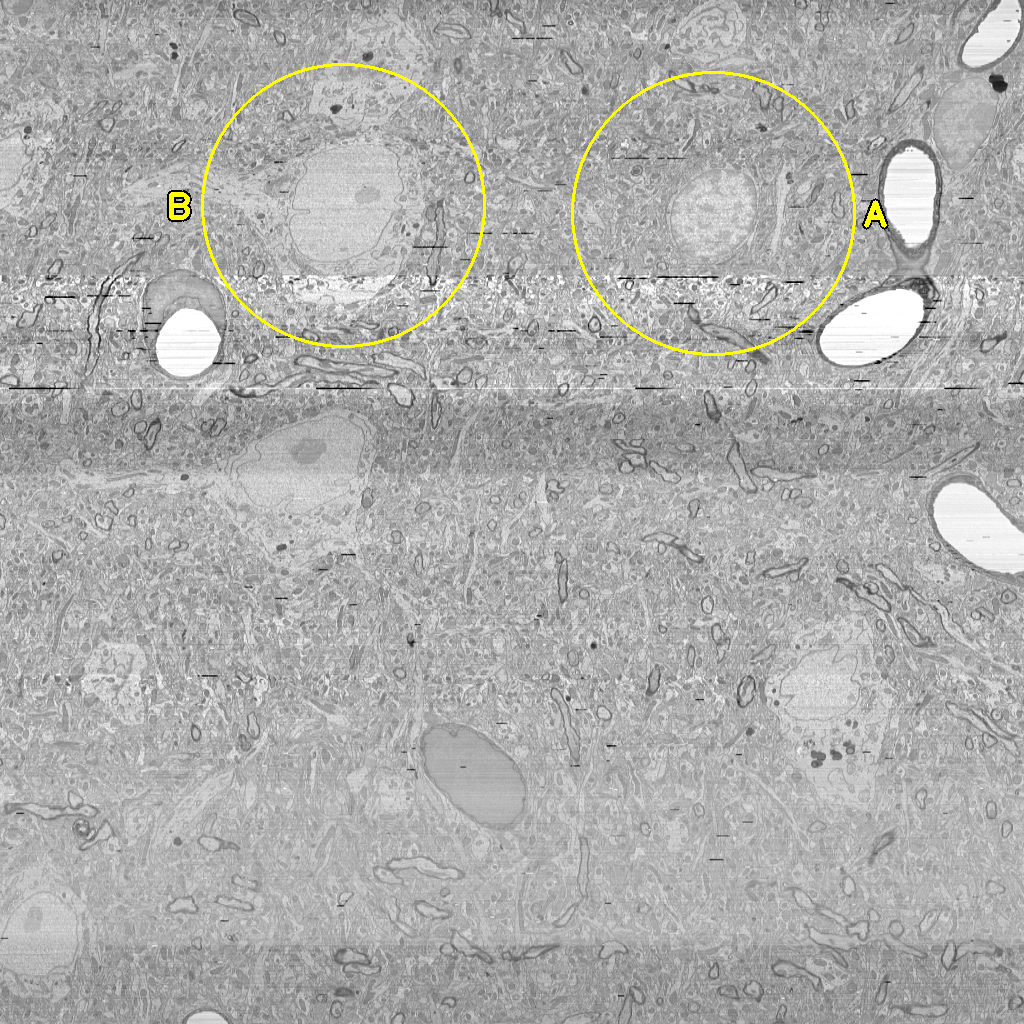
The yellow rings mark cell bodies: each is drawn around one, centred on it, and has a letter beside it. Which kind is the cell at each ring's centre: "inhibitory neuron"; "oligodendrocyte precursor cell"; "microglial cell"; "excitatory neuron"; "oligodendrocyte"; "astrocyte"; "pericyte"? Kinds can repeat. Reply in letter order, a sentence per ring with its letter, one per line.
At the centre of ring A lies an oligodendrocyte.
At the centre of ring B lies an excitatory neuron.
